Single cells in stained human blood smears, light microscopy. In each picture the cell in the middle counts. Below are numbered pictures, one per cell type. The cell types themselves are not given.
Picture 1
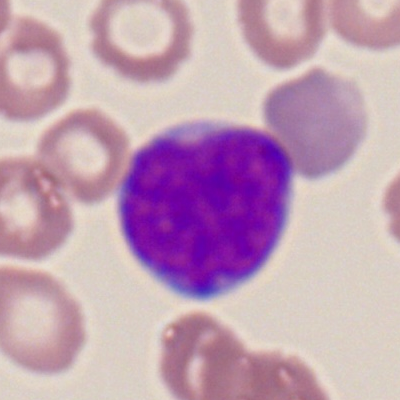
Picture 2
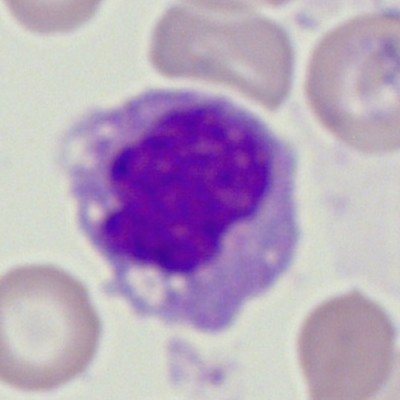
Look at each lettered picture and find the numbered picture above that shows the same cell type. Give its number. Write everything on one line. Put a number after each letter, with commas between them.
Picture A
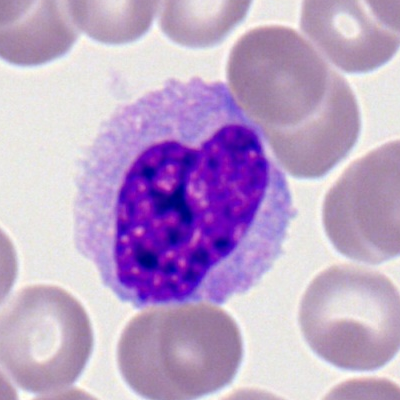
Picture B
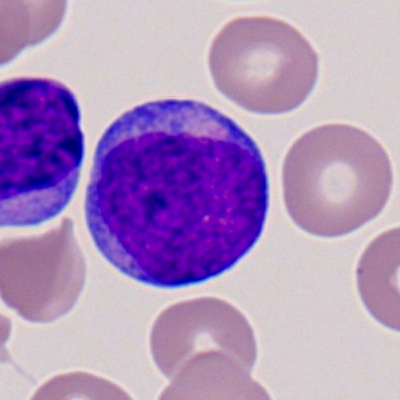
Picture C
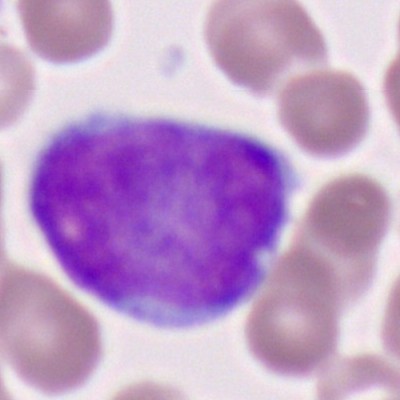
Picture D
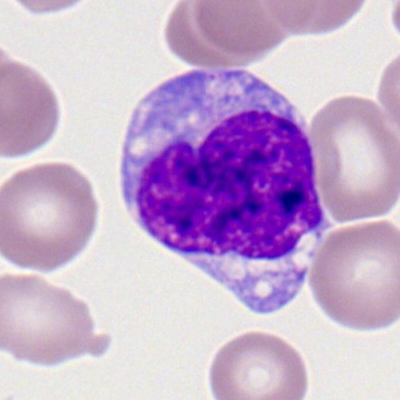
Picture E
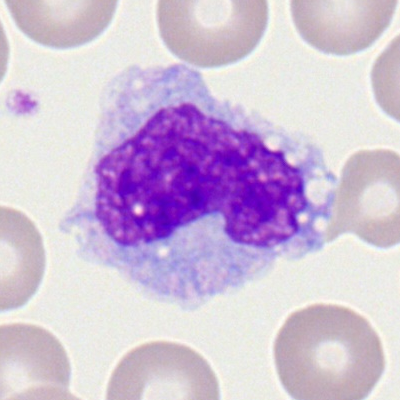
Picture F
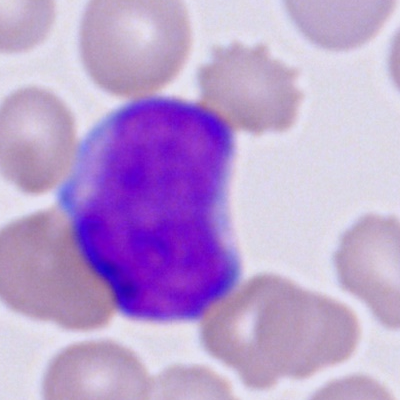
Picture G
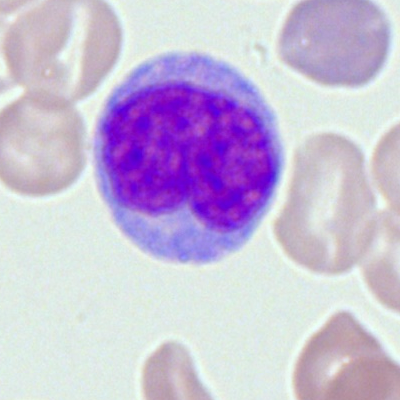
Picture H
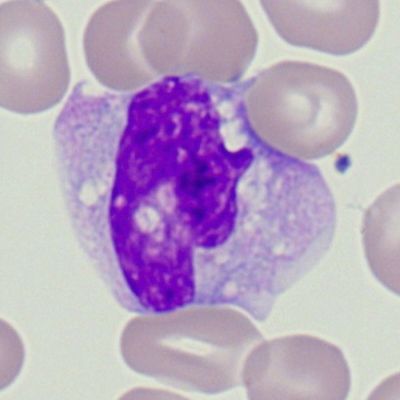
A 2, B 1, C 1, D 2, E 2, F 1, G 2, H 2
